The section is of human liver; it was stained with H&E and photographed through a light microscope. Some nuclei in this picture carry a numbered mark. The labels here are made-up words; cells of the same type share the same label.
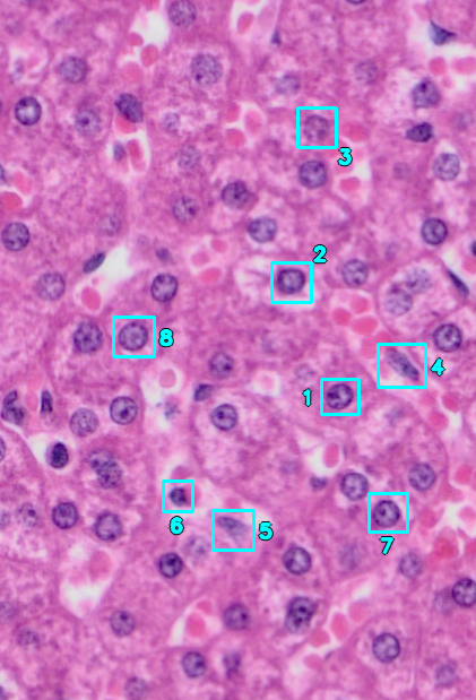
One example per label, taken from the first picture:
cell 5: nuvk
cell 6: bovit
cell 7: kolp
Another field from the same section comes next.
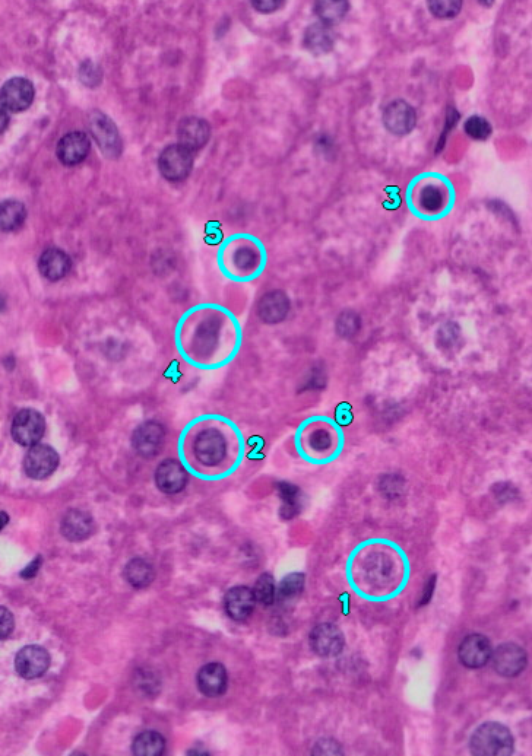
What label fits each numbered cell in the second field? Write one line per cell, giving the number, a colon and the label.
1: kolp
2: kolp
3: bovit
4: nuvk
5: bovit
6: bovit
